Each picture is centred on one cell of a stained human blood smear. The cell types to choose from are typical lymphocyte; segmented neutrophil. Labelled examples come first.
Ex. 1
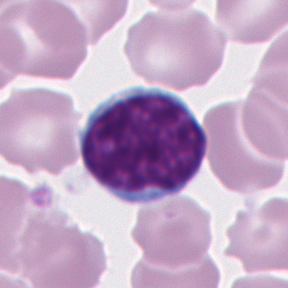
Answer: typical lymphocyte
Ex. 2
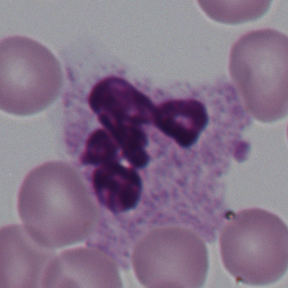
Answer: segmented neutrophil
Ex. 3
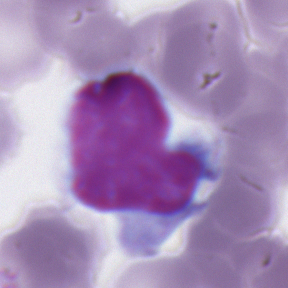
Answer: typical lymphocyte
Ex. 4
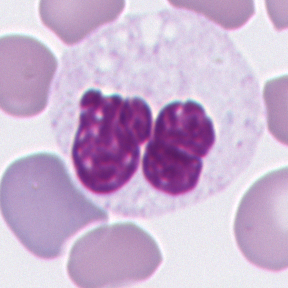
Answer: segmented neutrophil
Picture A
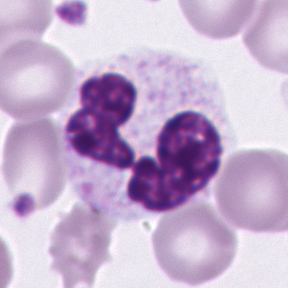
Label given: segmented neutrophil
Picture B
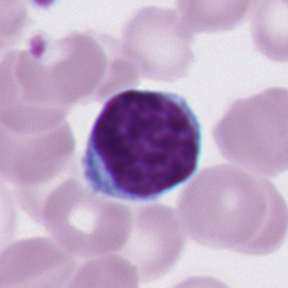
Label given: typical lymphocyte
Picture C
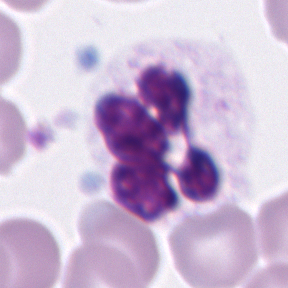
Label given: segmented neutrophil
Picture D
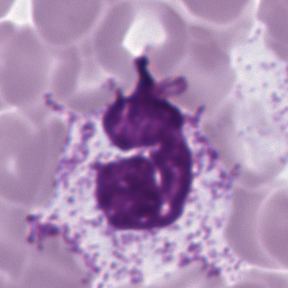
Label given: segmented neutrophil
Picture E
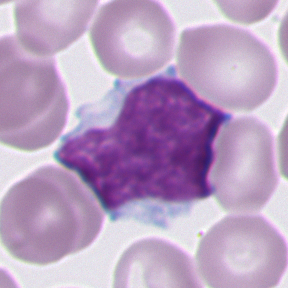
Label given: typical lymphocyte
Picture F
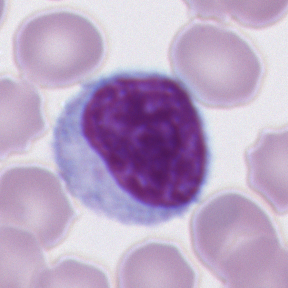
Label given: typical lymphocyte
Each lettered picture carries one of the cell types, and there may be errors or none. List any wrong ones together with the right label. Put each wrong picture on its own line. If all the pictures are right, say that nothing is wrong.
All correct.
